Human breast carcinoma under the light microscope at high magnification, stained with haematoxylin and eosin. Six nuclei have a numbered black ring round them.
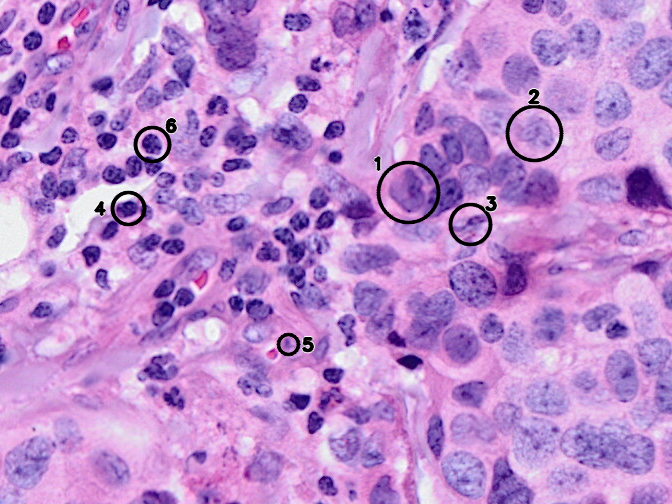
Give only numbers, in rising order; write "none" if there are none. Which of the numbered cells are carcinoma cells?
1, 2, 3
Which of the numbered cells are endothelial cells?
5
